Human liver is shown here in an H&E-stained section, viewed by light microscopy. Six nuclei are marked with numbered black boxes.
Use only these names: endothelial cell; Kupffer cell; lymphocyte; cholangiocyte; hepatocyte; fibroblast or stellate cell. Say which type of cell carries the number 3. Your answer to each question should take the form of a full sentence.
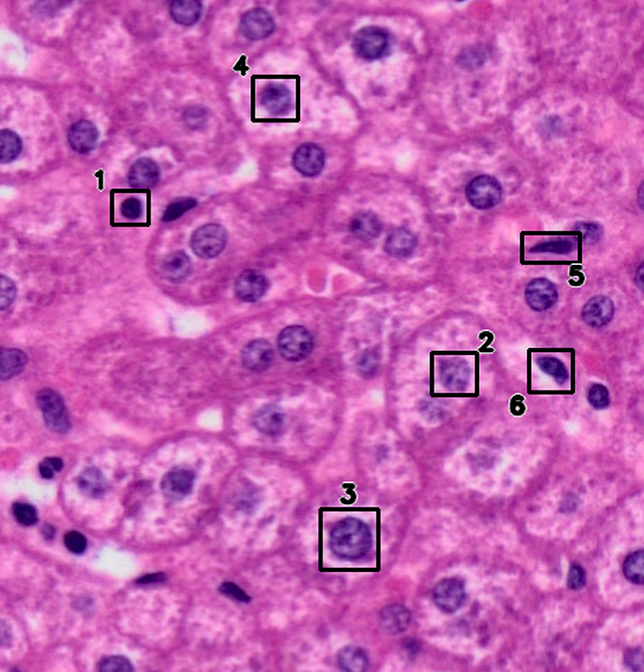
The cell referred to as 3 is a hepatocyte.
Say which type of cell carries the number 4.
Cell 4 is classified as a hepatocyte.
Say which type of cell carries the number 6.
The cell to which the number 6 is assigned is a lymphocyte.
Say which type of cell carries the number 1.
In this section, the cell numbered 1 is a lymphocyte.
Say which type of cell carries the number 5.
The cell identified by the number 5 is an endothelial cell.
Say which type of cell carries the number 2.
The cell marked with the number 2 is a hepatocyte.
